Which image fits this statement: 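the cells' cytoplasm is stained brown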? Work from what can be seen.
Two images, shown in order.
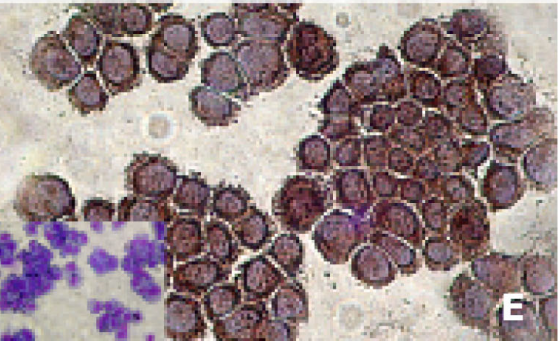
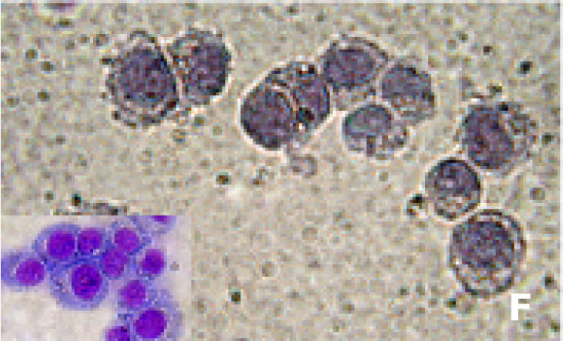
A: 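The first image. Second image: the cells are grey-blue with no brown colour in their cytoplasm. First image: the cells of the clusters have brown-stained cytoplasm.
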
